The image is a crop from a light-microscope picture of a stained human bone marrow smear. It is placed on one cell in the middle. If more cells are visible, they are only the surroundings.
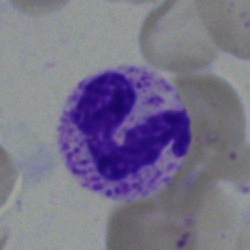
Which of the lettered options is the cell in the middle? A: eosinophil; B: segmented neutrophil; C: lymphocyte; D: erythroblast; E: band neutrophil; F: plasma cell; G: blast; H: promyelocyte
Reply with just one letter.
B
